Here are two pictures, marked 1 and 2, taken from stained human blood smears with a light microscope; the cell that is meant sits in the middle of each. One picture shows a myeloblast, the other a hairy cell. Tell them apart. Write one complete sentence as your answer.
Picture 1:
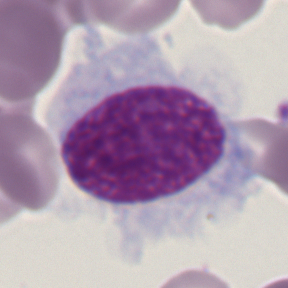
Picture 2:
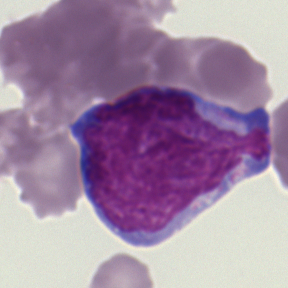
It is picture 1 that shows a hairy cell, and picture 2 that shows a myeloblast.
